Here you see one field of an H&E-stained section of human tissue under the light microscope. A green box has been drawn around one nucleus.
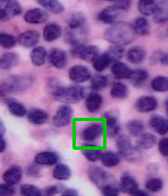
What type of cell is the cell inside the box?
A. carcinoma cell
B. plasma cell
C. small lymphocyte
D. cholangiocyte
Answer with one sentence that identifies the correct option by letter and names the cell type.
The right option is C, the cell inside the box being a small lymphocyte.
